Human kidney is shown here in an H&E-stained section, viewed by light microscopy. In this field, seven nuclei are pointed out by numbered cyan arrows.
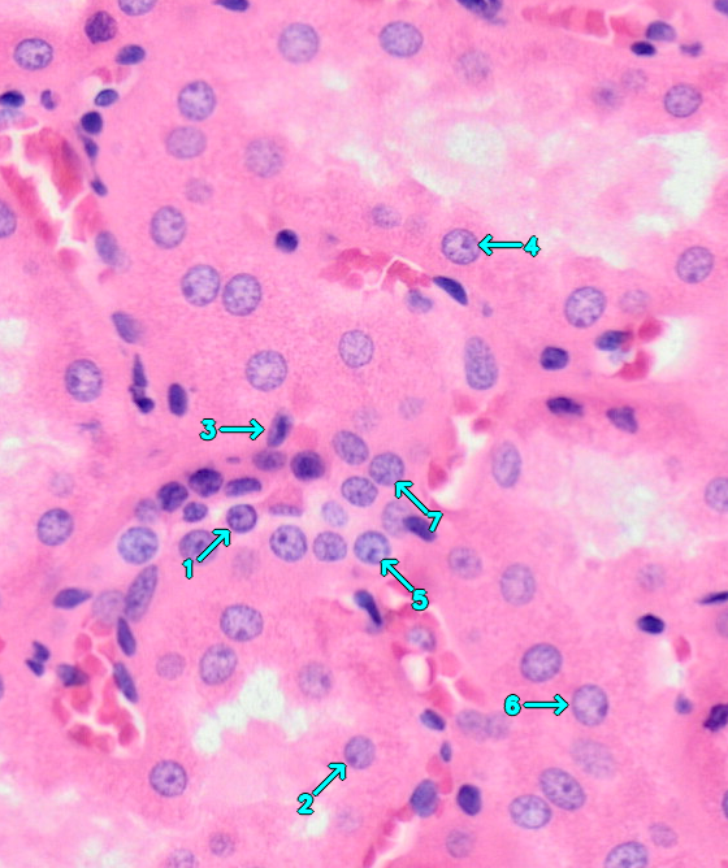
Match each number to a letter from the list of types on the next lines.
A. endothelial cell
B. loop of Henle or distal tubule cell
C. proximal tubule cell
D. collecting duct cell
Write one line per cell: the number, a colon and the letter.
1: D
2: C
3: A
4: C
5: D
6: C
7: D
